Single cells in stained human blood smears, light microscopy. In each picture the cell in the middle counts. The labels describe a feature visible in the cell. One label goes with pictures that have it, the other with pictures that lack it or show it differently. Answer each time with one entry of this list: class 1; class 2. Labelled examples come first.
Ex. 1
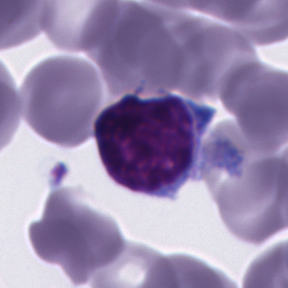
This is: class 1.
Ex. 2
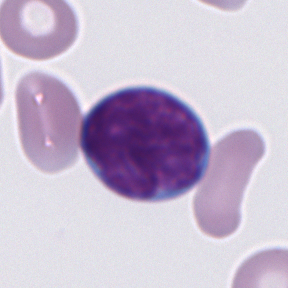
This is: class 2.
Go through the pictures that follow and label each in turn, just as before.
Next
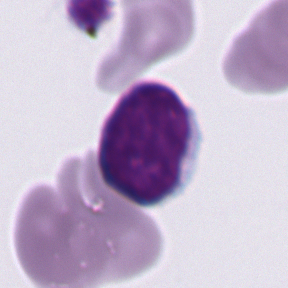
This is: class 2.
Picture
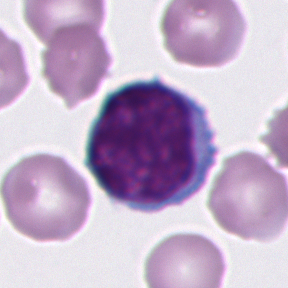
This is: class 1.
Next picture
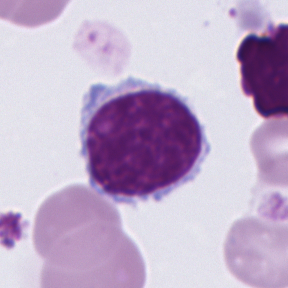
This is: class 1.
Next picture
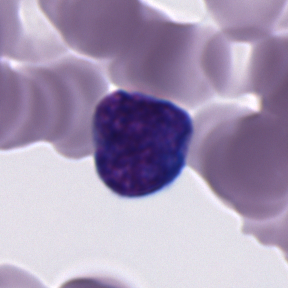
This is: class 2.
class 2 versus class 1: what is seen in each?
Seen in class 2: smooth outline; seen in class 1: ragged outline or projections.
